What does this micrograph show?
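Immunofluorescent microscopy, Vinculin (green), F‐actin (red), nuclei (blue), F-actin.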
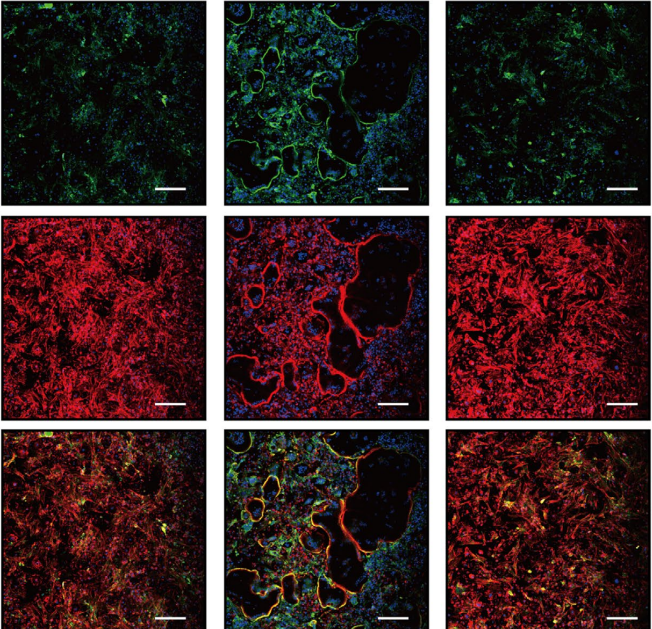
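In the left and right columns no rings are to be seen: the red forms a tangled meshwork of short filamentous strands, with scattered green specks, all over the field. So the belts are intact only in the middle column and absent elsewhere.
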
